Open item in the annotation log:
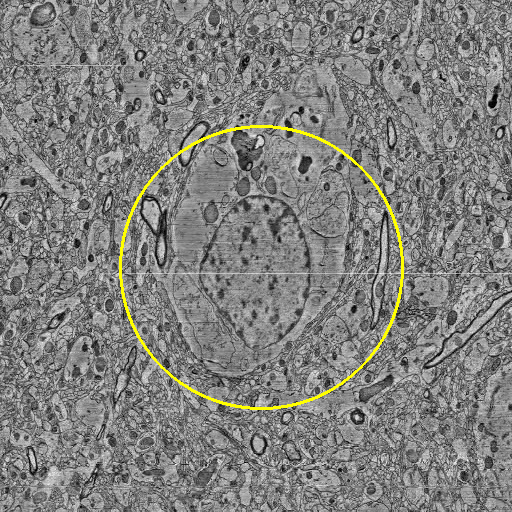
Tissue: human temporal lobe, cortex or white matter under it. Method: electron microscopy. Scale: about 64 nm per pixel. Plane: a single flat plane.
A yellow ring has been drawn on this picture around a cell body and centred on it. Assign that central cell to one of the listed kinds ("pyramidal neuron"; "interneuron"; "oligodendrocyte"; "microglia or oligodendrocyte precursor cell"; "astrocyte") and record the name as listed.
astrocyte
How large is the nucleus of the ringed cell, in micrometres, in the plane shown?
In this plane, about 10 micrometres in length and 7 in width.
